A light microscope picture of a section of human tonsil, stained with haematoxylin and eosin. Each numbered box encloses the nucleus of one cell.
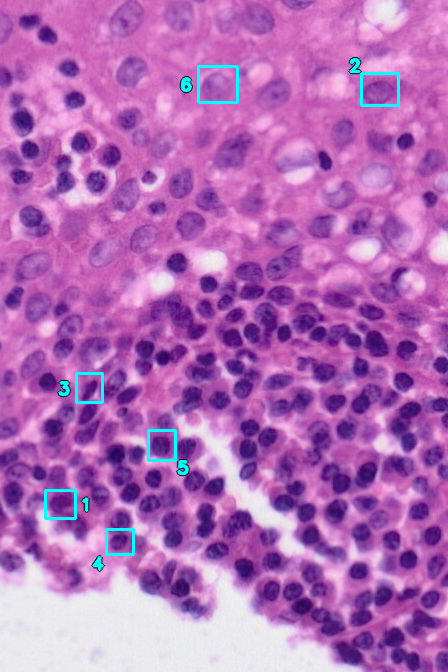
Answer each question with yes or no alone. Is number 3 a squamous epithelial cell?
yes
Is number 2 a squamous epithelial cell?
yes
